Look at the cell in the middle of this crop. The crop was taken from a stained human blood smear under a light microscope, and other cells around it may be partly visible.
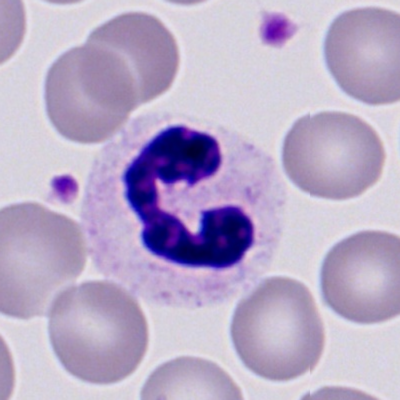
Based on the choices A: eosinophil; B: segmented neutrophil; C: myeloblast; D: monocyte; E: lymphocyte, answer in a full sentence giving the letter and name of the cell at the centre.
What option B states is correct, the central cell being a segmented neutrophil.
